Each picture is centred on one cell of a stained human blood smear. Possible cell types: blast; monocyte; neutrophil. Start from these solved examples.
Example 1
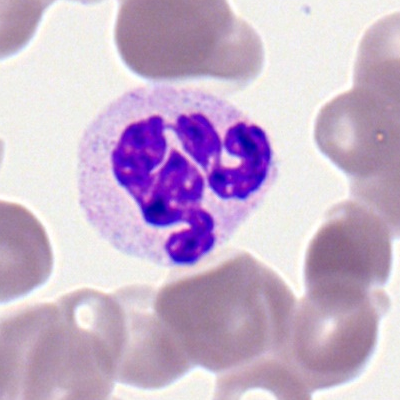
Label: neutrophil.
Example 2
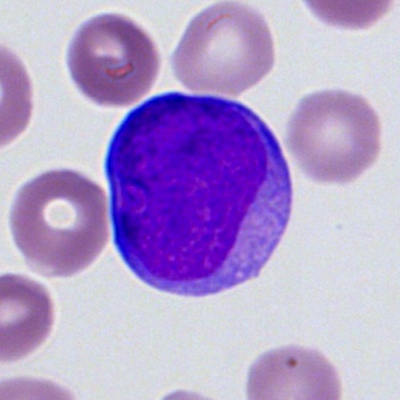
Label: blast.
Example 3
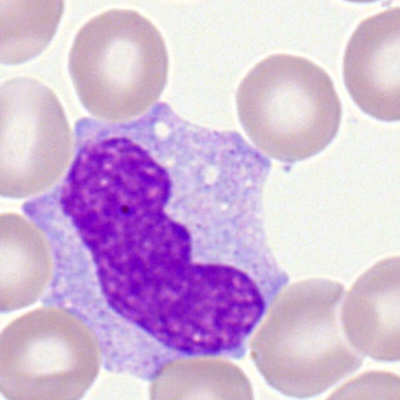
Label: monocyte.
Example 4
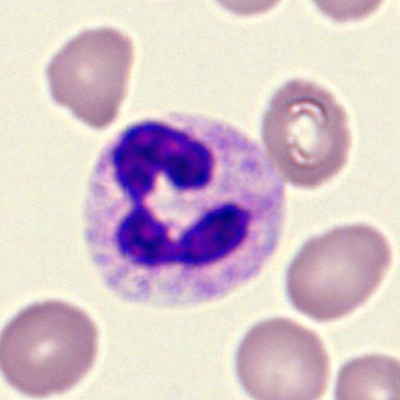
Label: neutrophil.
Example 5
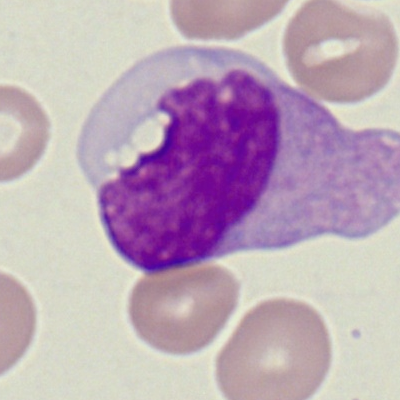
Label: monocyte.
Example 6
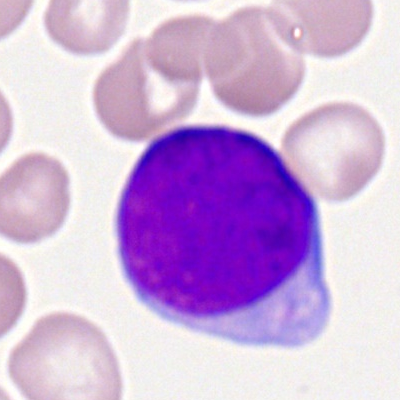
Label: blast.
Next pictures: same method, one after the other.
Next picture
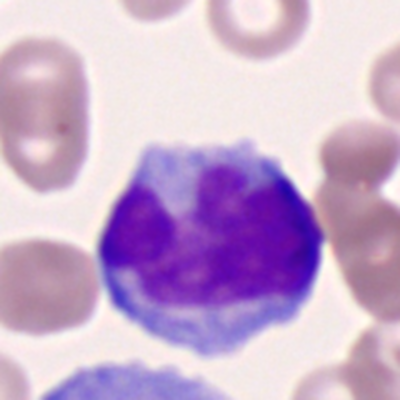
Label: monocyte.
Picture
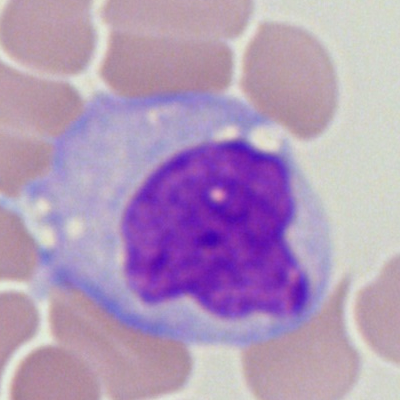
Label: monocyte.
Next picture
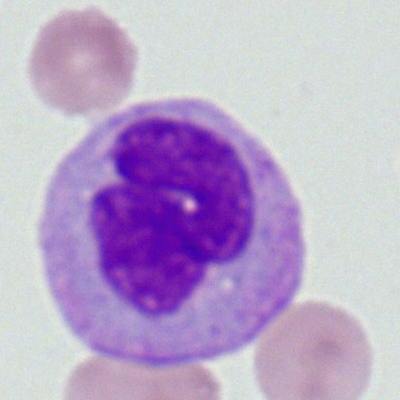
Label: monocyte.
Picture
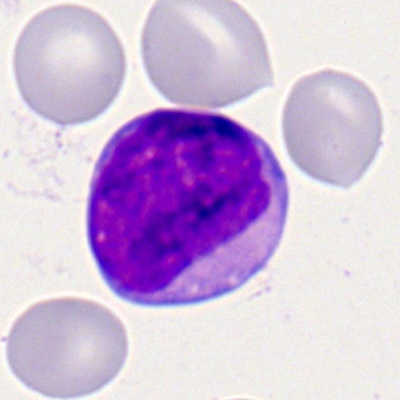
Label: blast.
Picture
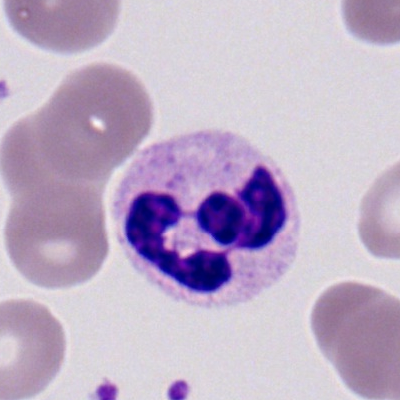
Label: neutrophil.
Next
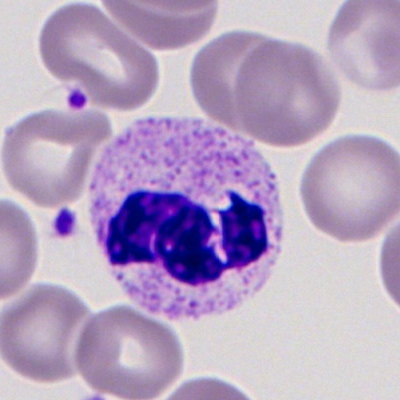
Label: neutrophil.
